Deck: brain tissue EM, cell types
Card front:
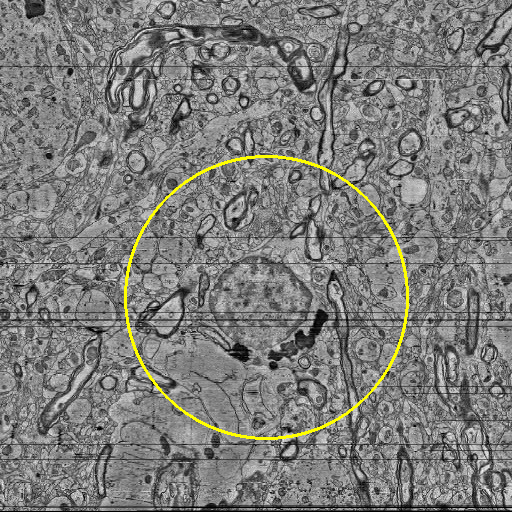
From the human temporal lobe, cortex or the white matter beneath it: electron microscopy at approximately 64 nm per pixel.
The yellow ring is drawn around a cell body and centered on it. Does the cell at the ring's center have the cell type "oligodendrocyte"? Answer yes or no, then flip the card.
yes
